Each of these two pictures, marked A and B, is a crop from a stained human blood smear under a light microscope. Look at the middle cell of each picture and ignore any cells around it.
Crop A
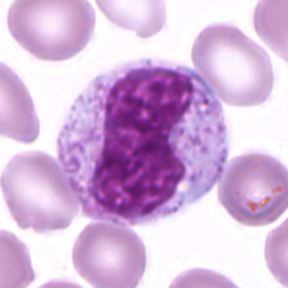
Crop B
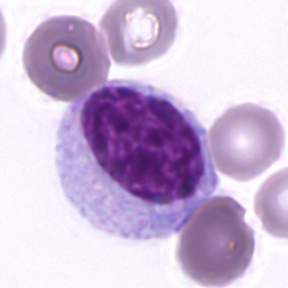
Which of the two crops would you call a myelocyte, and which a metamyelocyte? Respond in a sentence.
Crop A is to be labelled a metamyelocyte, and crop B a myelocyte.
